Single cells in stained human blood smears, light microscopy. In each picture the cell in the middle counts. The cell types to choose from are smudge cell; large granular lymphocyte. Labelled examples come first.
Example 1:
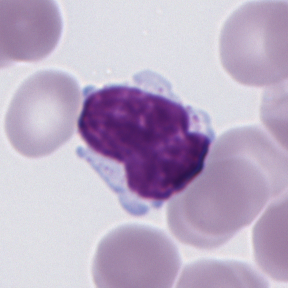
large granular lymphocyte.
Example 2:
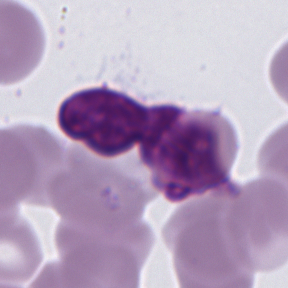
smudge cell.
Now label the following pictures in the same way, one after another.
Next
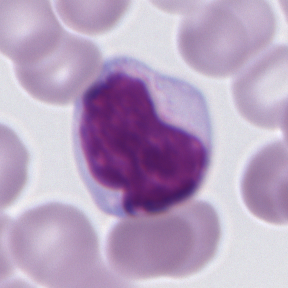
large granular lymphocyte.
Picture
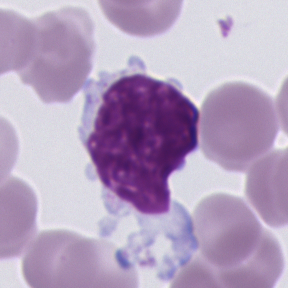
large granular lymphocyte.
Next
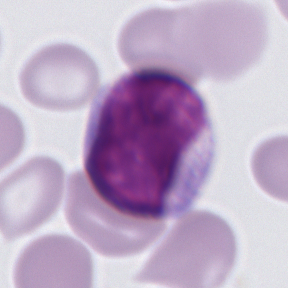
large granular lymphocyte.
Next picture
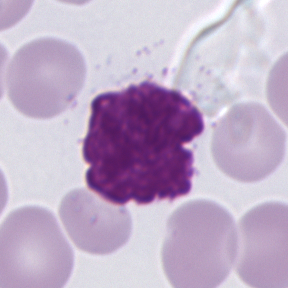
smudge cell.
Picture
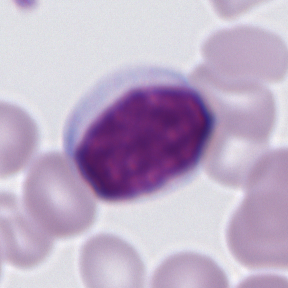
large granular lymphocyte.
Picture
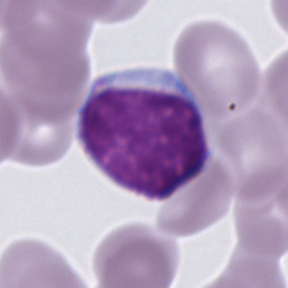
large granular lymphocyte.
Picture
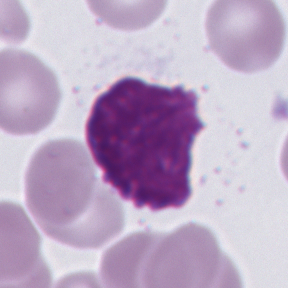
smudge cell.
